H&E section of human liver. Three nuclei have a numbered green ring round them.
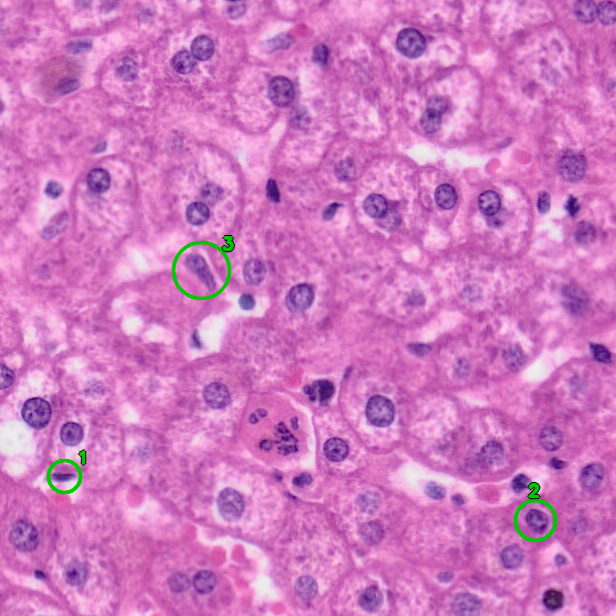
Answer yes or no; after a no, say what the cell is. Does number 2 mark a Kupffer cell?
No, it is a hepatocyte.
